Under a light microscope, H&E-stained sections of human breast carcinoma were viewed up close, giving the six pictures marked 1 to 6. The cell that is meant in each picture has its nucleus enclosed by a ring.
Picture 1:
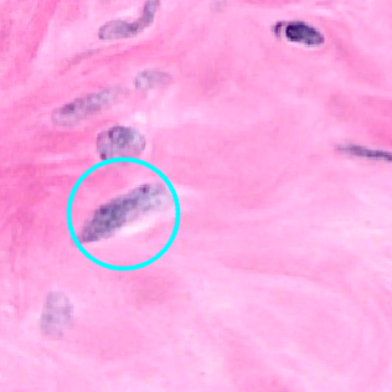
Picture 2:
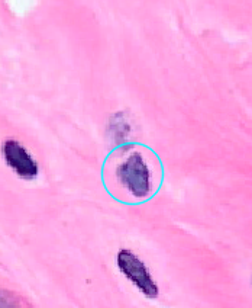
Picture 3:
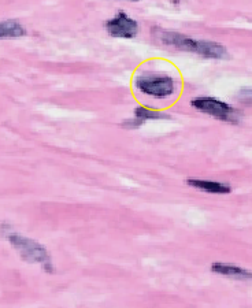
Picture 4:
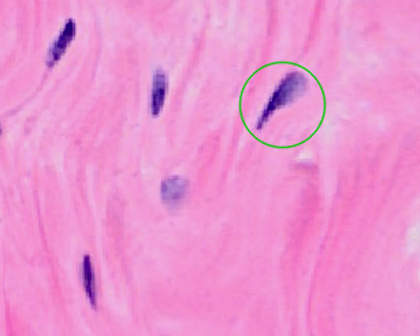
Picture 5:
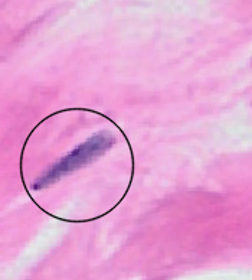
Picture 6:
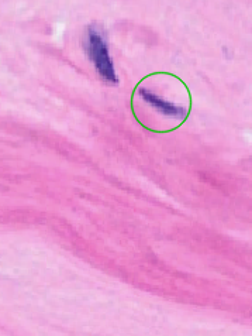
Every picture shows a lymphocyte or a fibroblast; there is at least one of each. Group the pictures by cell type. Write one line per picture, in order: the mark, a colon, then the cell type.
1: fibroblast
2: lymphocyte
3: lymphocyte
4: fibroblast
5: fibroblast
6: fibroblast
